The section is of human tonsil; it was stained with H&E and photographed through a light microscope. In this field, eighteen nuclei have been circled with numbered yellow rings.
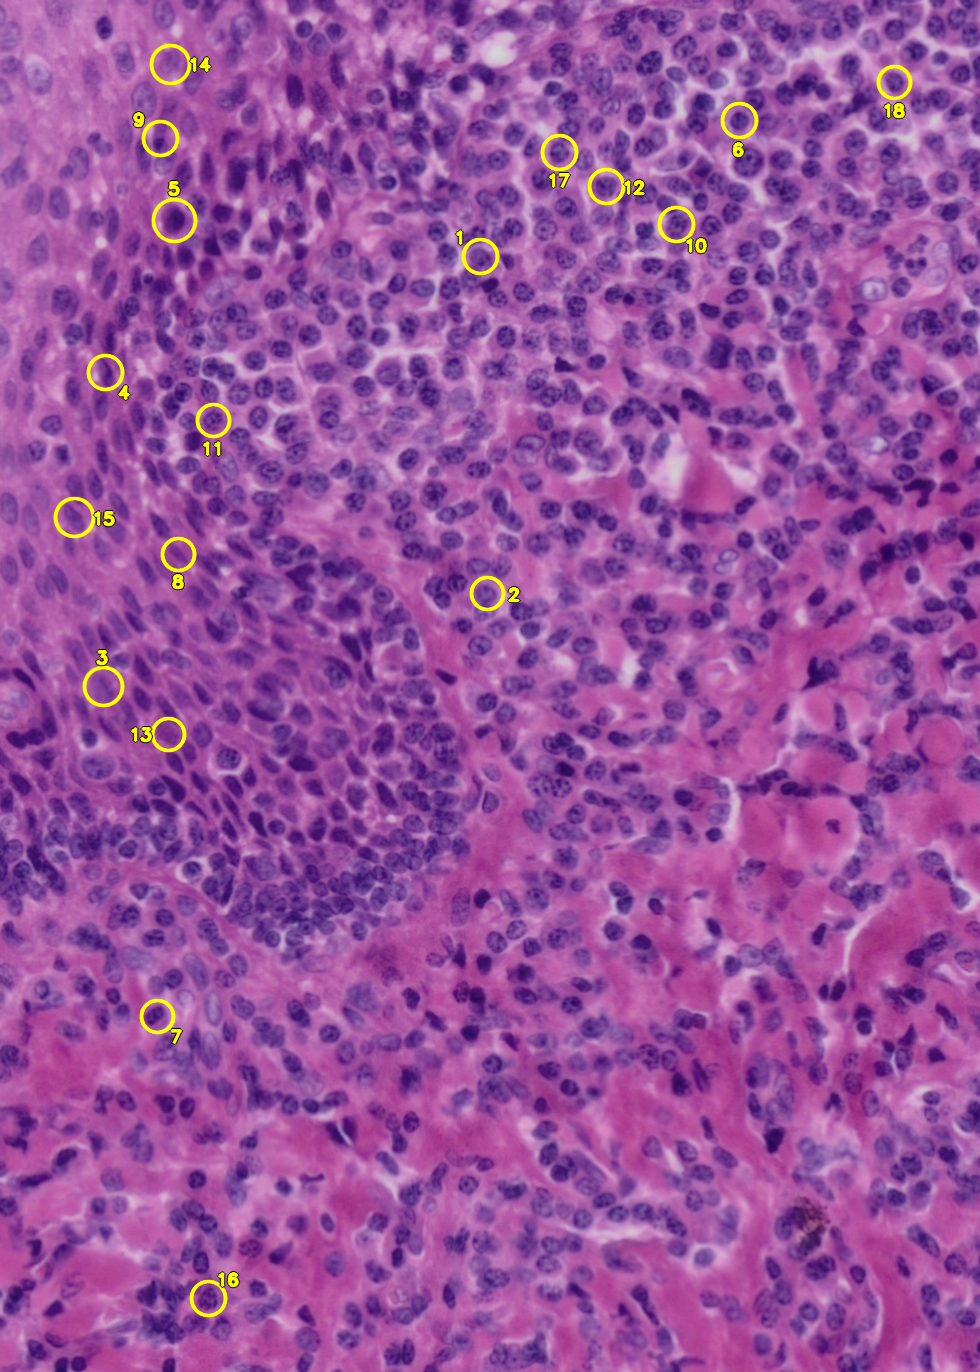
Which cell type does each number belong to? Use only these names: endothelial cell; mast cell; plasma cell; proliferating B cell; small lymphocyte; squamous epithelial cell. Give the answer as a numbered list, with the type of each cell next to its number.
1. plasma cell
2. plasma cell
3. squamous epithelial cell
4. squamous epithelial cell
5. squamous epithelial cell
6. plasma cell
7. plasma cell
8. squamous epithelial cell
9. squamous epithelial cell
10. plasma cell
11. plasma cell
12. plasma cell
13. squamous epithelial cell
14. squamous epithelial cell
15. squamous epithelial cell
16. plasma cell
17. plasma cell
18. plasma cell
